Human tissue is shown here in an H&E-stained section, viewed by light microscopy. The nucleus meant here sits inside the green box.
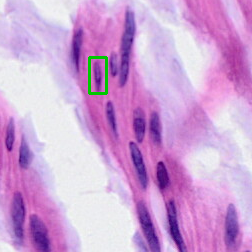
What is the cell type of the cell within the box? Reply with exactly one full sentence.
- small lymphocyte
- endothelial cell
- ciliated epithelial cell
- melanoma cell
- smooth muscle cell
It is as a smooth muscle cell that the cell within the box is recorded.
